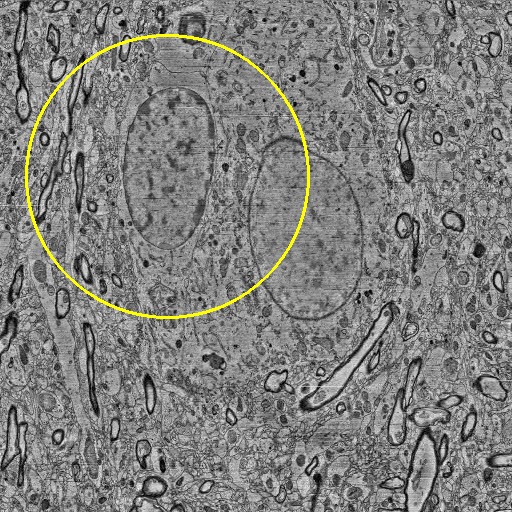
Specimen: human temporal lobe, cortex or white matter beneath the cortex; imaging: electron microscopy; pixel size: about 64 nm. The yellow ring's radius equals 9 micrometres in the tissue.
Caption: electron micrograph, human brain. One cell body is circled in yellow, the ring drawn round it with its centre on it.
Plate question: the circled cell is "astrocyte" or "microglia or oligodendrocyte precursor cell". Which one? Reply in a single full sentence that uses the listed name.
The yellow ring on the plate is centred on a microglial cell or oligodendrocyte precursor cell, going by the listed names.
